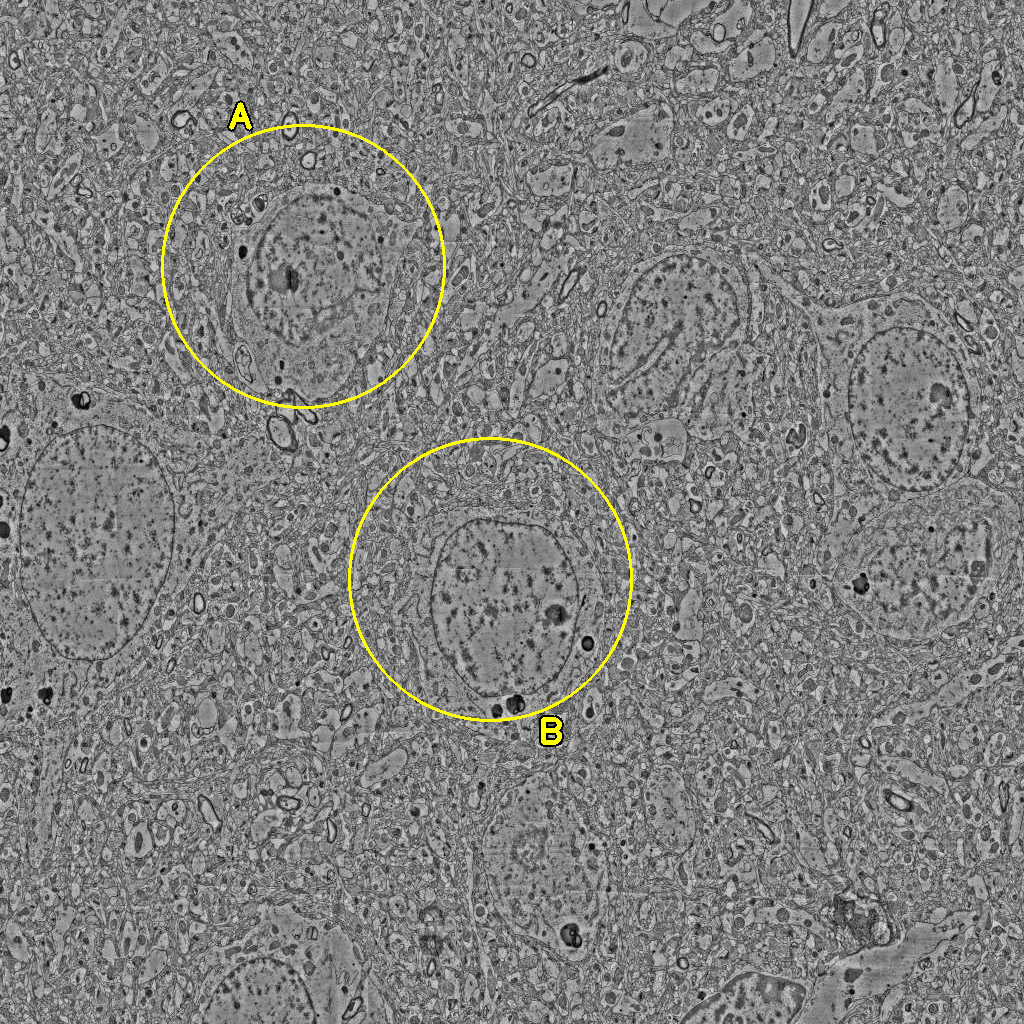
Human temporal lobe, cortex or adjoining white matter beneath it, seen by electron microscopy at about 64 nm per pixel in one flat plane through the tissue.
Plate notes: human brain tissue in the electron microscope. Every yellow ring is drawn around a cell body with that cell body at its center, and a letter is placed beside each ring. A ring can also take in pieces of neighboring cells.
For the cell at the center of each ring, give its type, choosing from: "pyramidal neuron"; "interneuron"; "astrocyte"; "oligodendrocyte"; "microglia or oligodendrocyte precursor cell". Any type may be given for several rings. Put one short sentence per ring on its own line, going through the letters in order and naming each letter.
Ring A shows an interneuron at the center.
Ring B shows a pyramidal neuron at the center.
